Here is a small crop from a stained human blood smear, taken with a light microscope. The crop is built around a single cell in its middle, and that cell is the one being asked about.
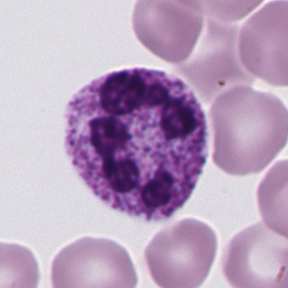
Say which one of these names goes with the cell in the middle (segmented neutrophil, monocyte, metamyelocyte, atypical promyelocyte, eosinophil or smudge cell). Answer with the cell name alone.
segmented neutrophil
